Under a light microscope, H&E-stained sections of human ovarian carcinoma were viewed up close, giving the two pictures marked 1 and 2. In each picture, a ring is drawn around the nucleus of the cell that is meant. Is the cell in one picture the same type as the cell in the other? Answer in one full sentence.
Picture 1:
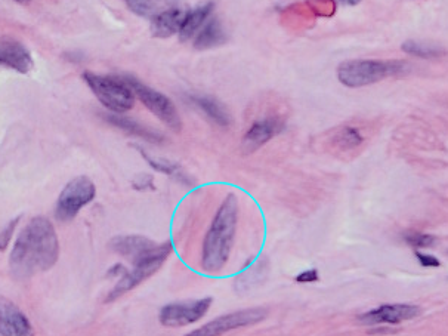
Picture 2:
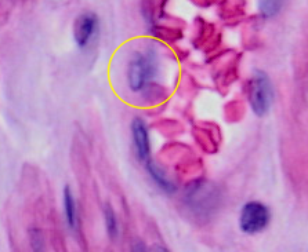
No, picture 1 shows a smooth muscle cell and picture 2 shows an endothelial cell.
